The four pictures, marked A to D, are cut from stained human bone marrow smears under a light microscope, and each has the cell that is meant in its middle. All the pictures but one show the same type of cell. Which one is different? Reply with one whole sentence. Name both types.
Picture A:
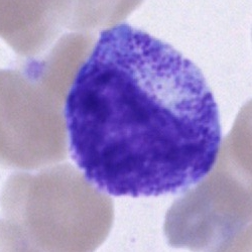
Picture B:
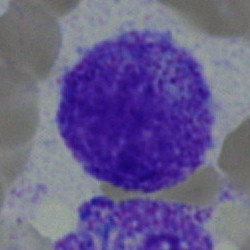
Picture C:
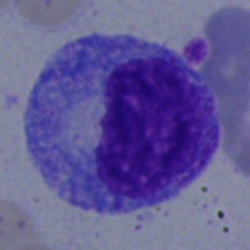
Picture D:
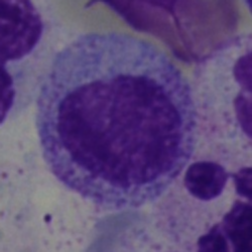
Picture B is the odd one out: it shows a myelocyte, while the others show promyelocytes.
